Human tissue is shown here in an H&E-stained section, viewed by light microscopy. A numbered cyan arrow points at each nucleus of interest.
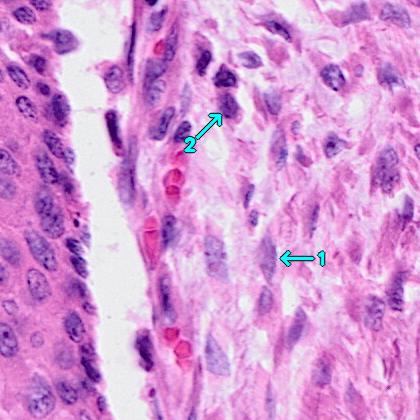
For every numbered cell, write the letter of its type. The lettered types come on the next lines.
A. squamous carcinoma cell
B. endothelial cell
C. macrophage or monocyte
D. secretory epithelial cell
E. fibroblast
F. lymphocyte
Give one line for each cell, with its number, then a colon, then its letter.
1: E
2: C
